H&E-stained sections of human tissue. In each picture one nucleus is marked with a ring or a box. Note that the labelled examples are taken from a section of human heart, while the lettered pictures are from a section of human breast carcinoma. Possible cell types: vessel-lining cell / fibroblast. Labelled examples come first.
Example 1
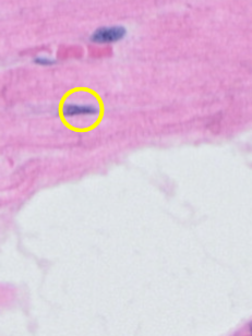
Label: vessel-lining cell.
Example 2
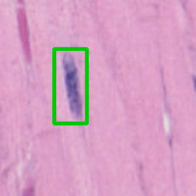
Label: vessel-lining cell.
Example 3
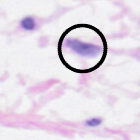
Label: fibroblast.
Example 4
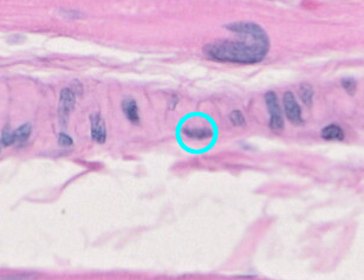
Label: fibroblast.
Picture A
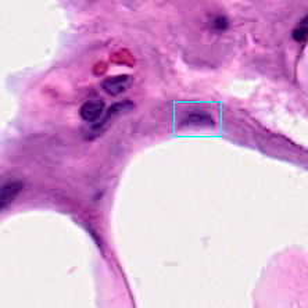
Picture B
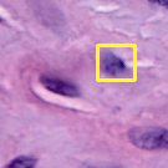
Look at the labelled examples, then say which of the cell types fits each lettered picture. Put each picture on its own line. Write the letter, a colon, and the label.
A: fibroblast.
B: fibroblast.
